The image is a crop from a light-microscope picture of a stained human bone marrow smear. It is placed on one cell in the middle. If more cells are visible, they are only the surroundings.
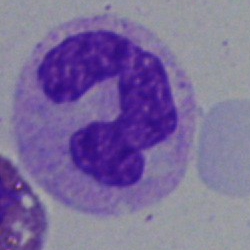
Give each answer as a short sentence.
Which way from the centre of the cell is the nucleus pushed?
The nucleus sits off-centre, toward the upper right.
